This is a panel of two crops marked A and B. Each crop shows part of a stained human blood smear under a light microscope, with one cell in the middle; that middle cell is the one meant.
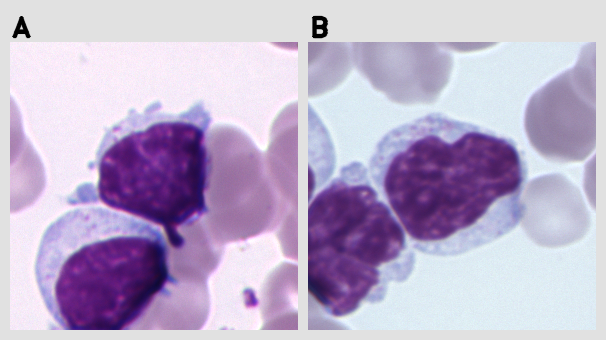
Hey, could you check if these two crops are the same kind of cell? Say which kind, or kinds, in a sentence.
Yes, both crops feature large granular lymphocytes at the centre.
